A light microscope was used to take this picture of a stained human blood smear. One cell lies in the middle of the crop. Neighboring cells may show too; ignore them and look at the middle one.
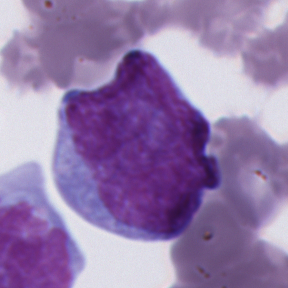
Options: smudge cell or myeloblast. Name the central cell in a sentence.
Occupying the centre of the crop is a myeloblast.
